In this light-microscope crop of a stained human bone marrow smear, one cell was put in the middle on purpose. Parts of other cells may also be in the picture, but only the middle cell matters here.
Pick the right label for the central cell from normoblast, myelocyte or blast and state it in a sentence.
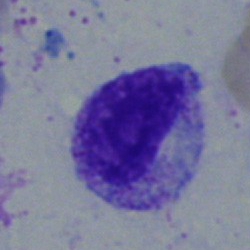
The cell at the middle of the frame should be recorded as a myelocyte.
